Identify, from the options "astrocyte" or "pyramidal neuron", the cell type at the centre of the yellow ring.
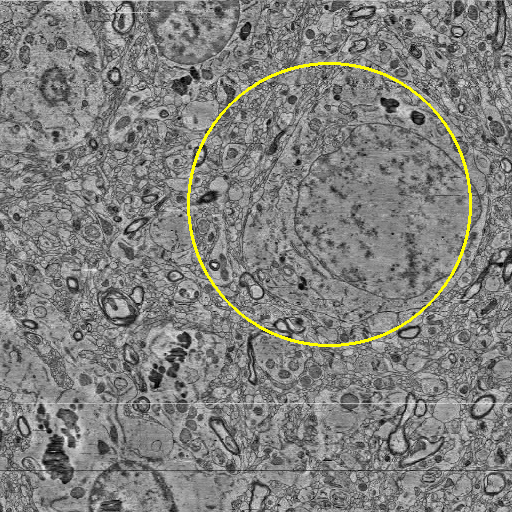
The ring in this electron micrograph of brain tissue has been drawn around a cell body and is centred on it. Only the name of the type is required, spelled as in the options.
pyramidal neuron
